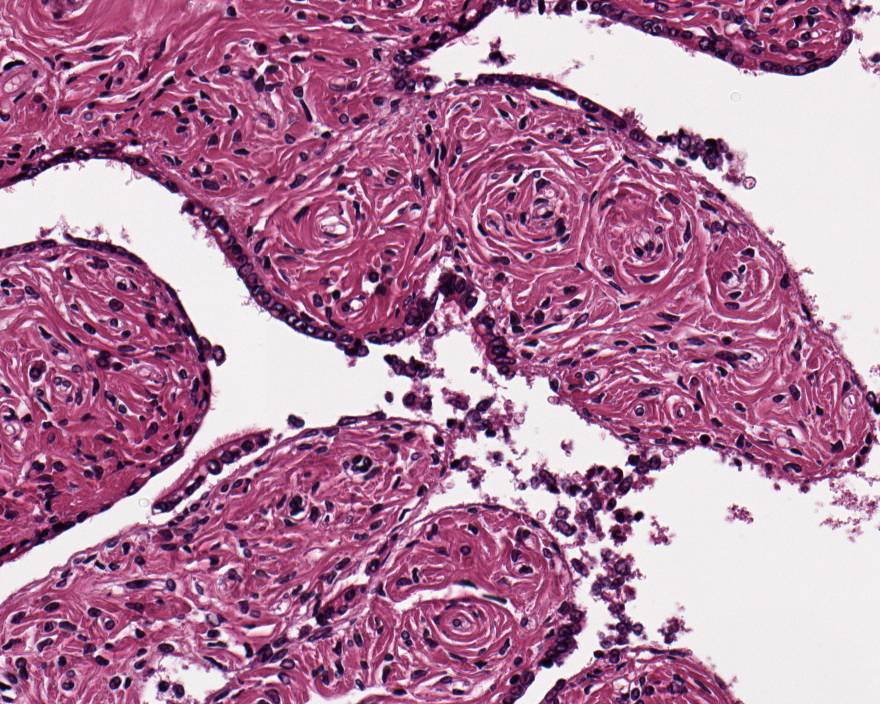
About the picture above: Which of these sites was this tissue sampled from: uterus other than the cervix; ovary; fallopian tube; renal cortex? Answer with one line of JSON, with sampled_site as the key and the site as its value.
{"sampled_site": "fallopian tube"}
